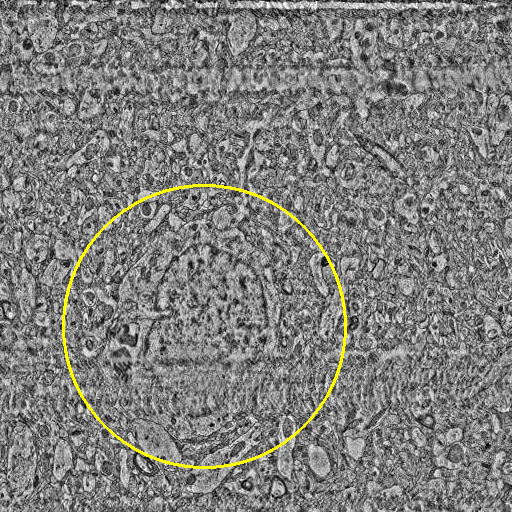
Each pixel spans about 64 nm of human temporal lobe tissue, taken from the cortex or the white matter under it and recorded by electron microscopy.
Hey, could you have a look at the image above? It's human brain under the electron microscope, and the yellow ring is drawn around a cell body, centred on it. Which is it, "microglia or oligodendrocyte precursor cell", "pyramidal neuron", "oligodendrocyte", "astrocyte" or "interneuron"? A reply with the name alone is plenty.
interneuron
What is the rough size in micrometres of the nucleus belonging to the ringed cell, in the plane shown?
In this plane, approximately 11 by 8 micrometers.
